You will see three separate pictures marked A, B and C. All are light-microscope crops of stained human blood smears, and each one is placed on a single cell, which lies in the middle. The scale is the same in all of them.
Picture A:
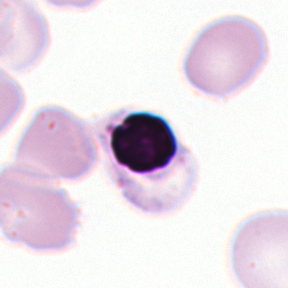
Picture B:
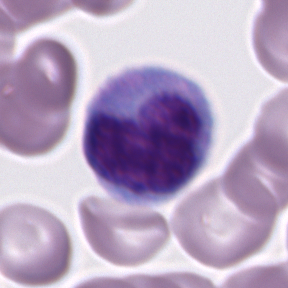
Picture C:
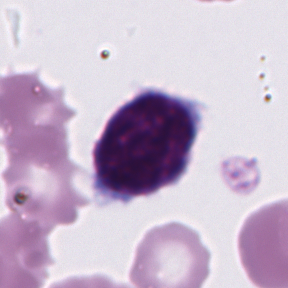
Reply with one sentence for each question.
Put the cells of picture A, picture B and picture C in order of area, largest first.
Going down, they run B, C, A.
